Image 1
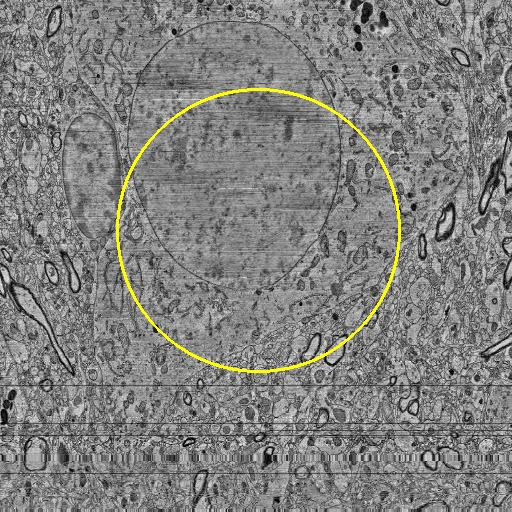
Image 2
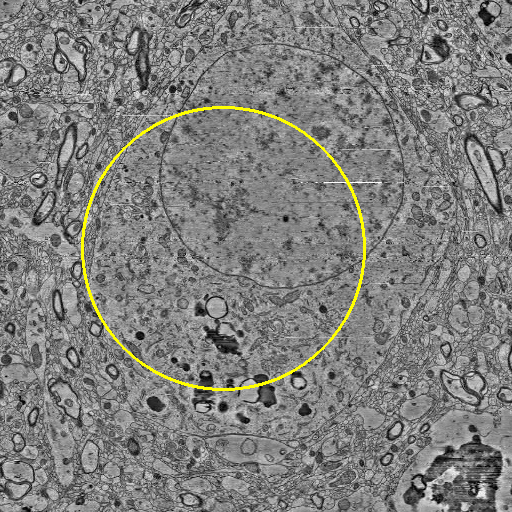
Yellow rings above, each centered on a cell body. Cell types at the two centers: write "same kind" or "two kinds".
same kind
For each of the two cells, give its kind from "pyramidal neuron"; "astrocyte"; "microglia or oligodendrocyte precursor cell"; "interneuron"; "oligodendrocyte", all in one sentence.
Each of the two rings surrounds a pyramidal neuron.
